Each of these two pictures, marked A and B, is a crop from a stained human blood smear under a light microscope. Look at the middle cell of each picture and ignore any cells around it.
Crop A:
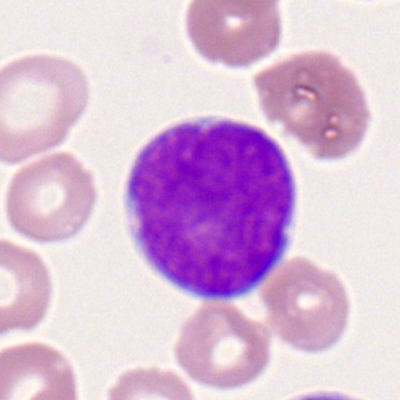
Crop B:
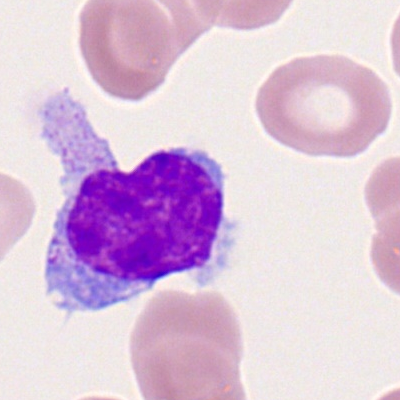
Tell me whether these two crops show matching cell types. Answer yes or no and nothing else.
no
